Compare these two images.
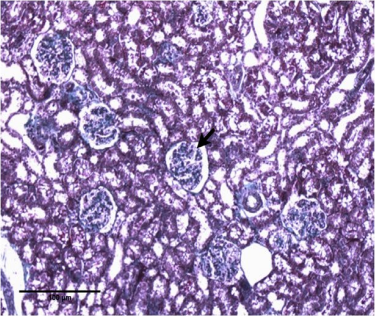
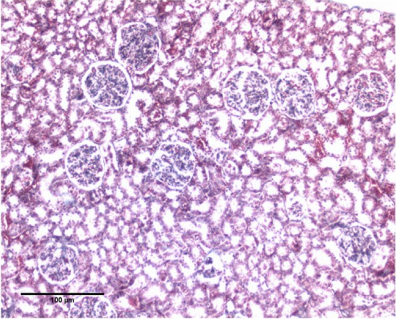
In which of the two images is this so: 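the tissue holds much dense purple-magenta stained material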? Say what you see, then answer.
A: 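First image: glomeruli and tubules are stained dark purple throughout. That points to this answer: the first image.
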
